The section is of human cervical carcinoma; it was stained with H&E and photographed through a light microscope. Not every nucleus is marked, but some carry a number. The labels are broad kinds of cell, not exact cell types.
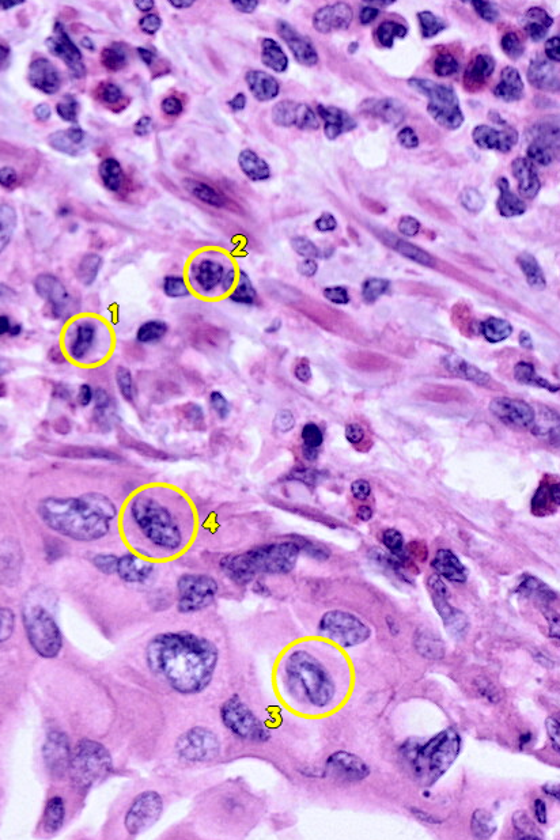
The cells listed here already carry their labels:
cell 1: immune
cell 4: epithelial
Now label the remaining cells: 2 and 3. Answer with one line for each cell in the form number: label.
2: immune
3: epithelial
